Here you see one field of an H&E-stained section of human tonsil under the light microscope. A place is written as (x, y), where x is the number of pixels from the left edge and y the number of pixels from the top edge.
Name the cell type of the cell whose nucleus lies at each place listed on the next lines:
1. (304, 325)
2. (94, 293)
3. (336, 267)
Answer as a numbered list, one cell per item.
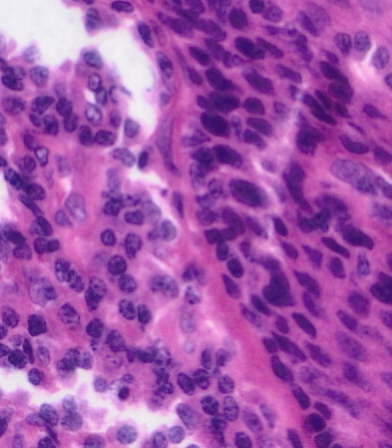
1. squamous epithelial cell
2. plasma cell
3. squamous epithelial cell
